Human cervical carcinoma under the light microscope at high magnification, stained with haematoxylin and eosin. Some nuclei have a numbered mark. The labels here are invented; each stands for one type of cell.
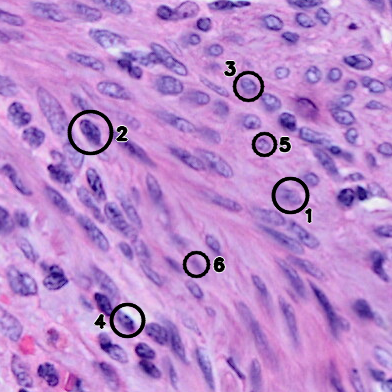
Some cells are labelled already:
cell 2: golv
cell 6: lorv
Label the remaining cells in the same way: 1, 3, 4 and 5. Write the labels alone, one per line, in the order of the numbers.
lorv
lorv
golv
lorv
